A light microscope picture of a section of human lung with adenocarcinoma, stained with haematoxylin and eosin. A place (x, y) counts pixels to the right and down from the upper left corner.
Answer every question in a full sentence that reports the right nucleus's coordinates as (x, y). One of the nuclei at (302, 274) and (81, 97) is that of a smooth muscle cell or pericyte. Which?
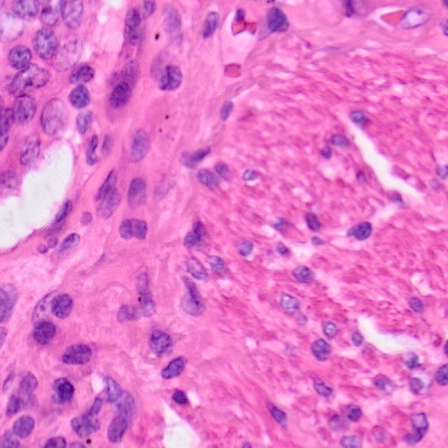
The nucleus at (302, 274) is contained in a smooth muscle cell or pericyte.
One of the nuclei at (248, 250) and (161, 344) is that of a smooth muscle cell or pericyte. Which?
The nucleus situated at (248, 250) is the one belonging to a smooth muscle cell or pericyte.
